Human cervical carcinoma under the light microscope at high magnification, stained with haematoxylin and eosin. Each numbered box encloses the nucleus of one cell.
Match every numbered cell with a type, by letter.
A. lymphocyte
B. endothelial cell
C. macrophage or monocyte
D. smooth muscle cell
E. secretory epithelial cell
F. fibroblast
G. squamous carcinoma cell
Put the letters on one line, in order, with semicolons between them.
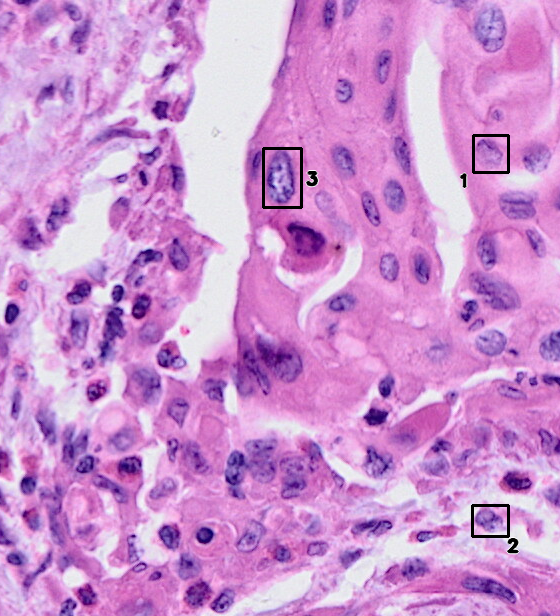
G; C; G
